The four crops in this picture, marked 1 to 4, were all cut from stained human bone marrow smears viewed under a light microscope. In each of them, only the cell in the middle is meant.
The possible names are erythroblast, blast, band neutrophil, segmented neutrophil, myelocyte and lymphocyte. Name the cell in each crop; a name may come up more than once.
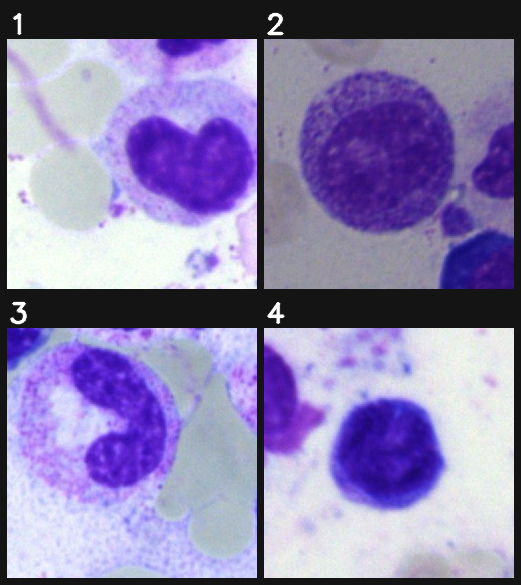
1: band neutrophil
2: myelocyte
3: band neutrophil
4: lymphocyte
